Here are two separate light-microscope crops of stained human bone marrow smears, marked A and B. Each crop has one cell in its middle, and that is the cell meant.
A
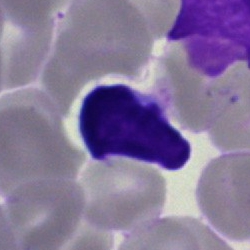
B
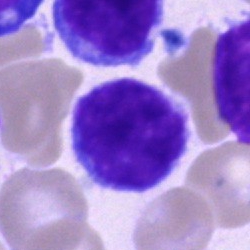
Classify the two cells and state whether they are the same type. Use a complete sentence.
Yes, the two crops show lymphocytes at their centres.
